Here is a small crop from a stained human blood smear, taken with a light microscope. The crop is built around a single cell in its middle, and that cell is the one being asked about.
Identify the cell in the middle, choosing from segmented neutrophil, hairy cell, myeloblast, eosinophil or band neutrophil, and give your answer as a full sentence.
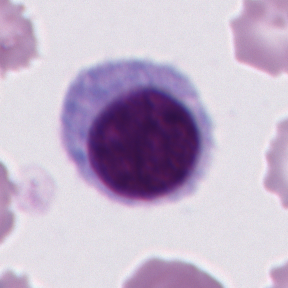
The crop shows a hairy cell in its centre.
